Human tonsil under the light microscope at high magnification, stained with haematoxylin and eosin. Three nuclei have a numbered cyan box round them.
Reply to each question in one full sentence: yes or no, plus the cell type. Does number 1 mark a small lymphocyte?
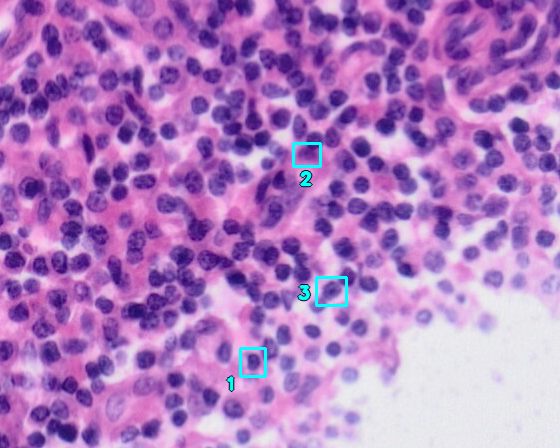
Yes, the cell marked by the number 1 is a small lymphocyte.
